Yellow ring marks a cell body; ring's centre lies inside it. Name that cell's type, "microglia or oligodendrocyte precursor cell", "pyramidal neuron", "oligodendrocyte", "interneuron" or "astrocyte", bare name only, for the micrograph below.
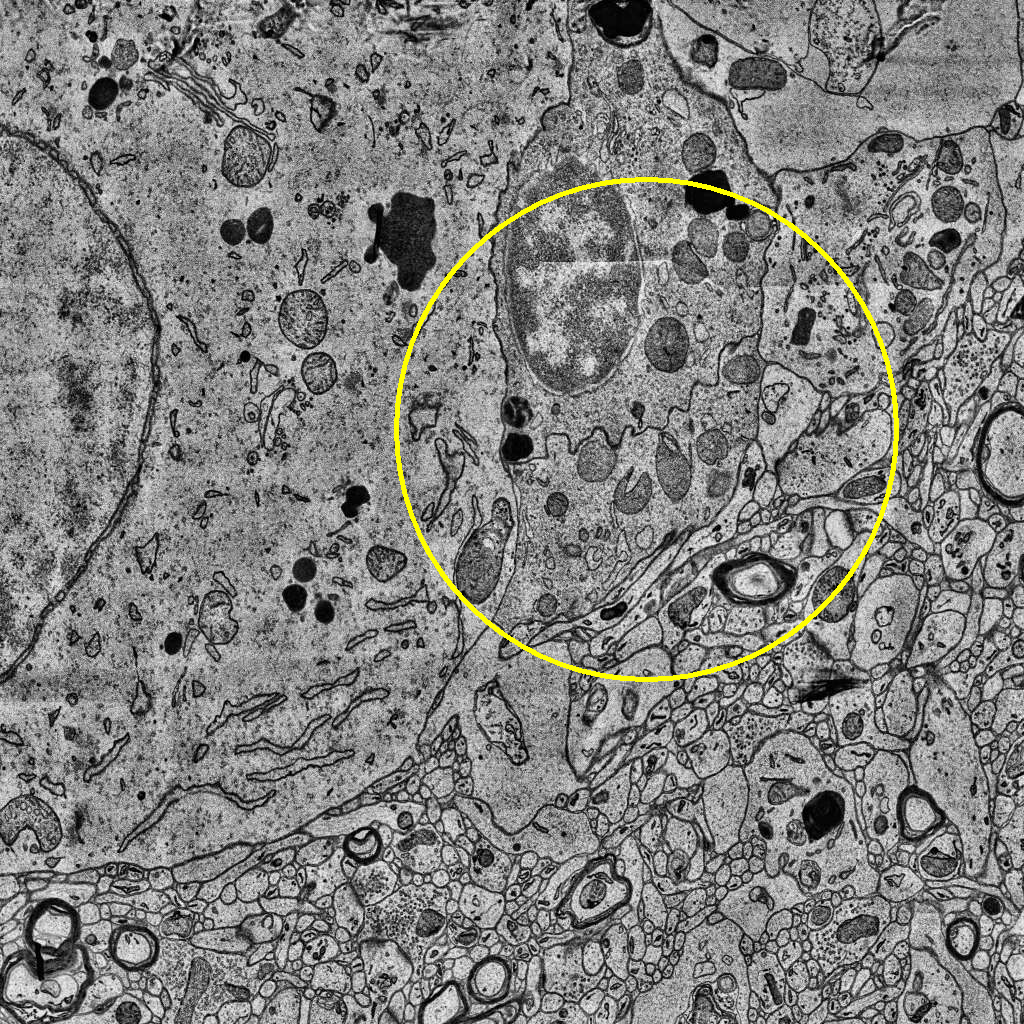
oligodendrocyte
